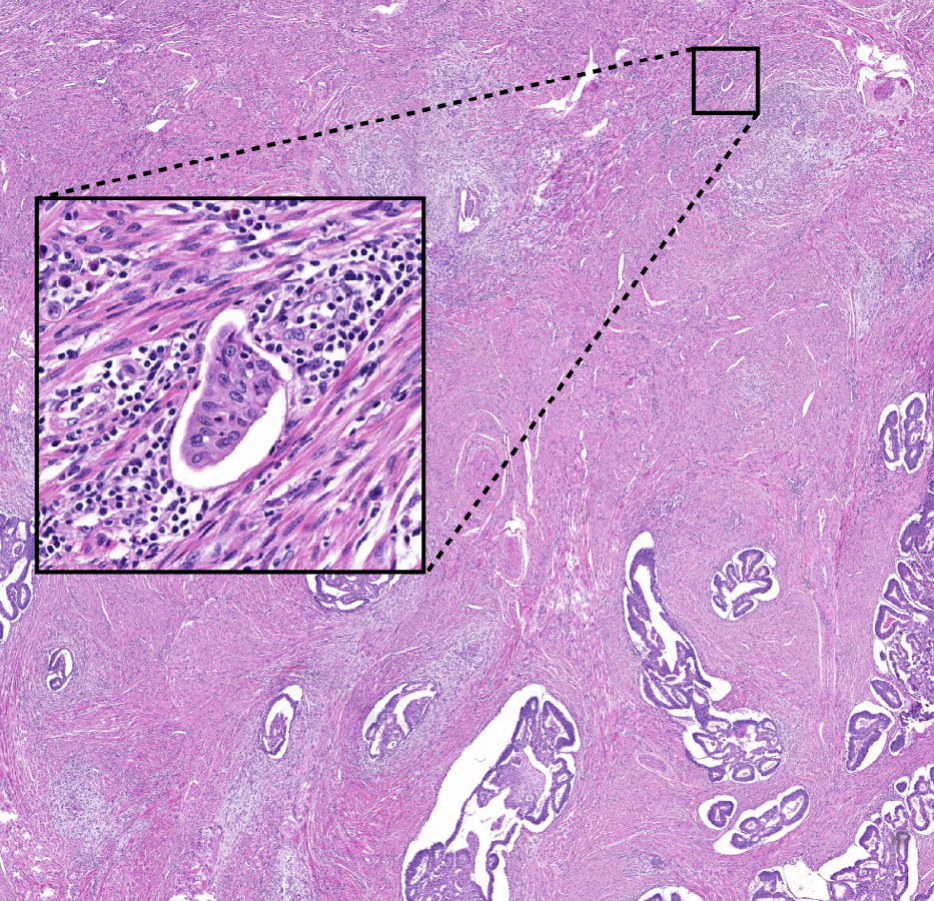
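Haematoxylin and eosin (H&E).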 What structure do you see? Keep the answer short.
infiltrating tumour glands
